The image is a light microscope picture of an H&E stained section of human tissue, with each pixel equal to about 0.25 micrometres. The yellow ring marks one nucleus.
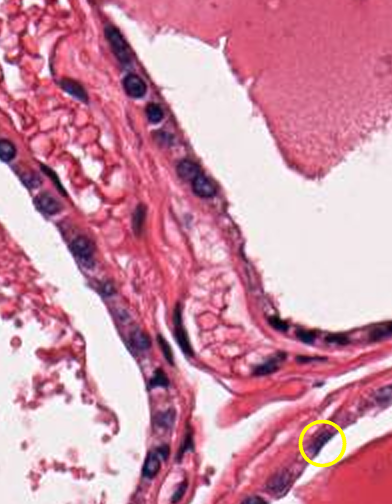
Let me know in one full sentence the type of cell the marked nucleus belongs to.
The cell whose nucleus is marked is a thyroid follicular cell.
